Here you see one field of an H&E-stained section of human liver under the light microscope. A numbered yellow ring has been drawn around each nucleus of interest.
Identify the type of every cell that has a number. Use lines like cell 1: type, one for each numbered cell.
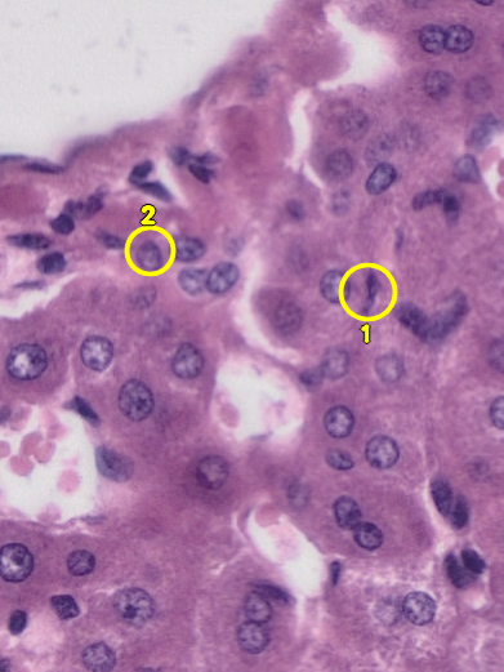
cell 1: fibroblast or stellate cell
cell 2: cholangiocyte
